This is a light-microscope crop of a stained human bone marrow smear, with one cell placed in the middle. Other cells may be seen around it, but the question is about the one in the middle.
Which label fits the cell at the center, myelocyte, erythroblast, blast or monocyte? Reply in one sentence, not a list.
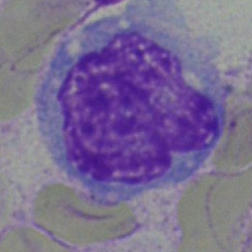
The central element of this crop is a cell, namely a monocyte.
